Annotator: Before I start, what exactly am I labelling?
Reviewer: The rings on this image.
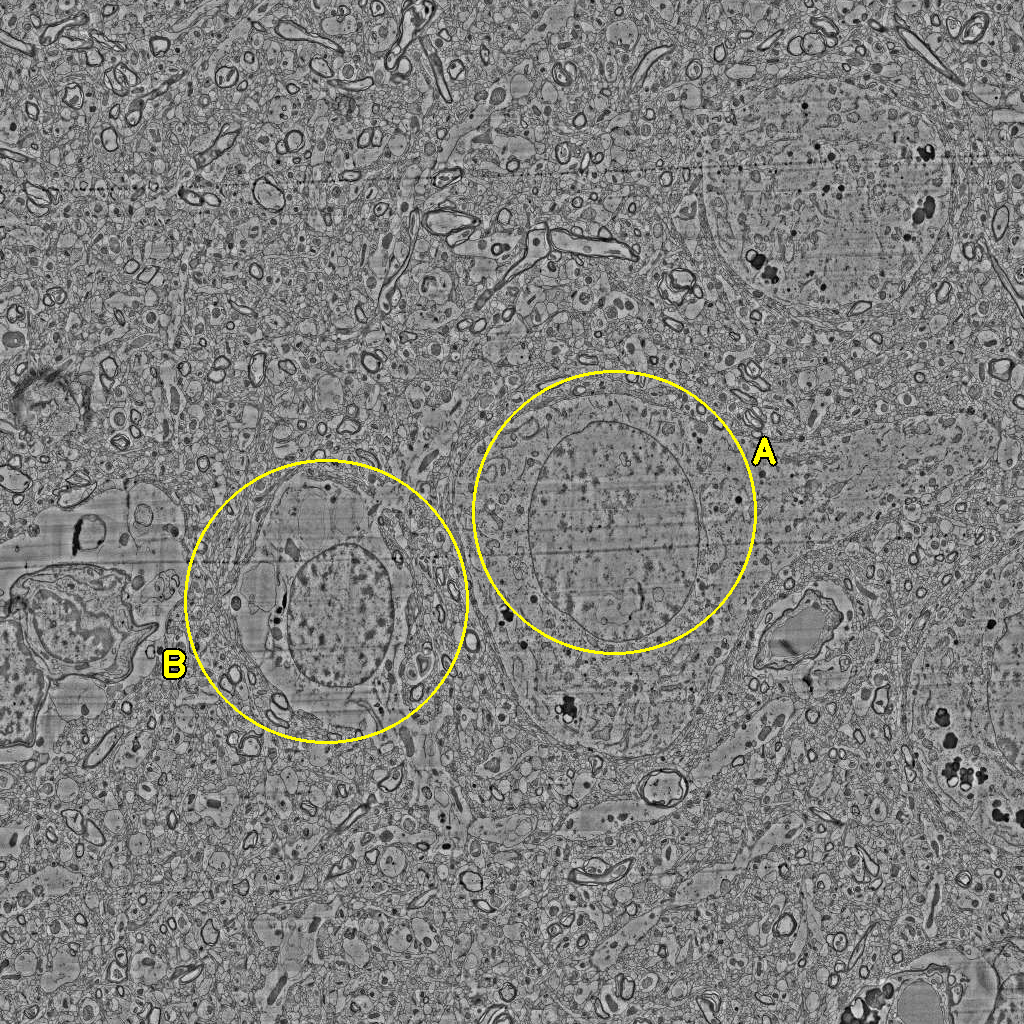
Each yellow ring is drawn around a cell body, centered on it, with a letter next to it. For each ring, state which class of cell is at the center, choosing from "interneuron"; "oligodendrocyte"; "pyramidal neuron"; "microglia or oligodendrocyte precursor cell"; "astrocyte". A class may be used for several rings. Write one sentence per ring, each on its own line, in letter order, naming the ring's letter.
At the center of ring A we have a pyramidal neuron.
At the center of ring B we have an astrocyte.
